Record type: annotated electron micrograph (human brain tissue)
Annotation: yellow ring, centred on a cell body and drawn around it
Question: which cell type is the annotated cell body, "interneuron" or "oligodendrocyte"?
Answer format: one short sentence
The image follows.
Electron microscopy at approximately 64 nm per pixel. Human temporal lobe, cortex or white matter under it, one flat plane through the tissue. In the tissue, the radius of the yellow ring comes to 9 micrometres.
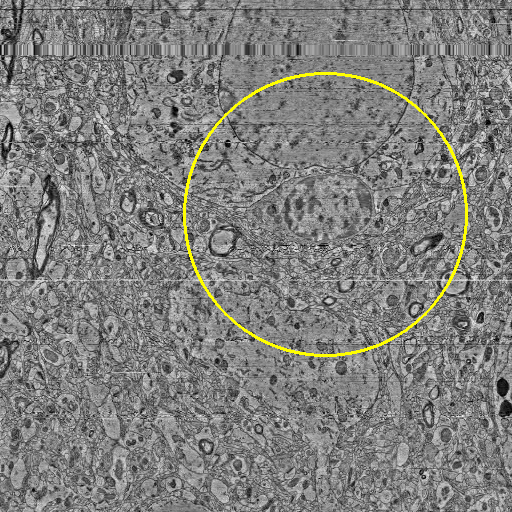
The annotated cell body is that of an oligodendrocyte.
